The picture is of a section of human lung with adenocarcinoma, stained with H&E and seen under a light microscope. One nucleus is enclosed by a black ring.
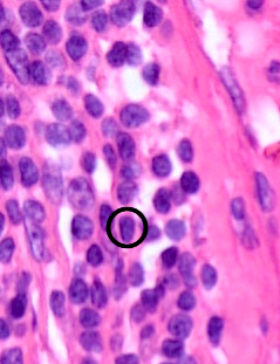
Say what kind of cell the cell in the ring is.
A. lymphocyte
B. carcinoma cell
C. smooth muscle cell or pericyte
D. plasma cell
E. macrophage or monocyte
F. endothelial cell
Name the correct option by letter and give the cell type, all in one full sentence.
Option A gets it right, as the cell in the ring is a lymphocyte.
